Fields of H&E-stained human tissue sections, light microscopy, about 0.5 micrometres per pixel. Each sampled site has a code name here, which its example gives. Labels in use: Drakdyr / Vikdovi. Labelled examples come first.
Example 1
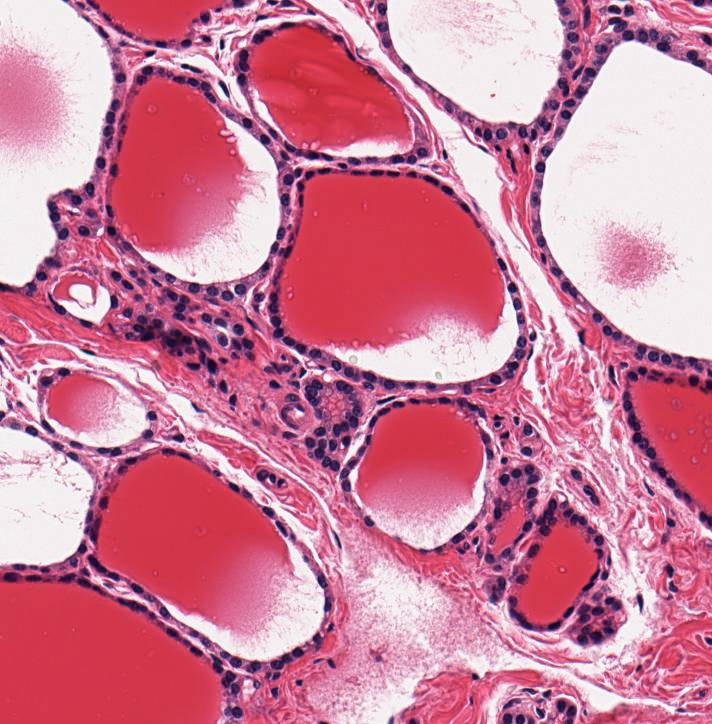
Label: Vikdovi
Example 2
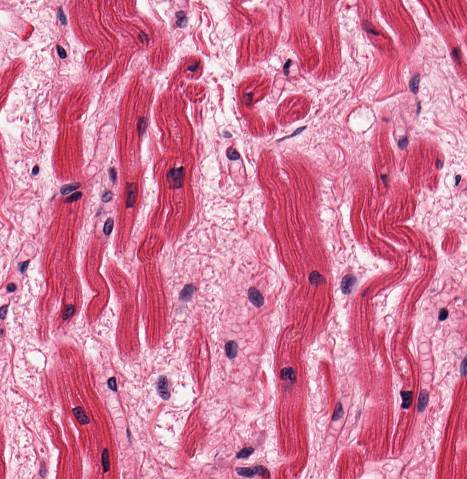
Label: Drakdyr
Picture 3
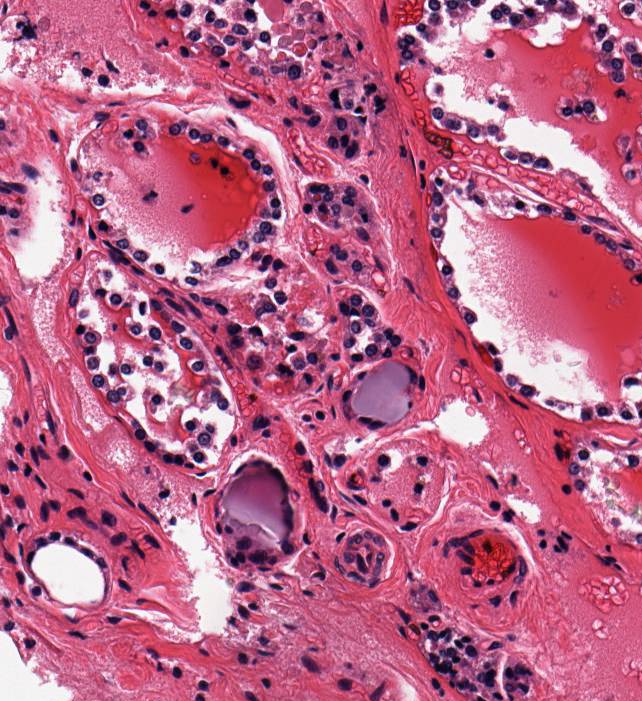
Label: Vikdovi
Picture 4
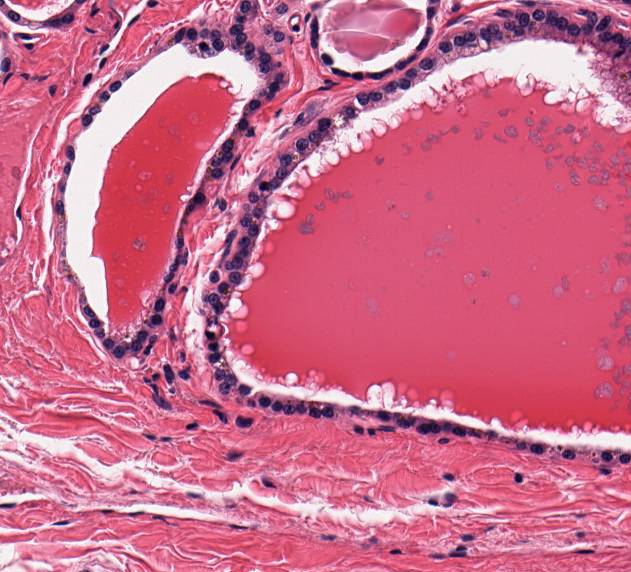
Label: Vikdovi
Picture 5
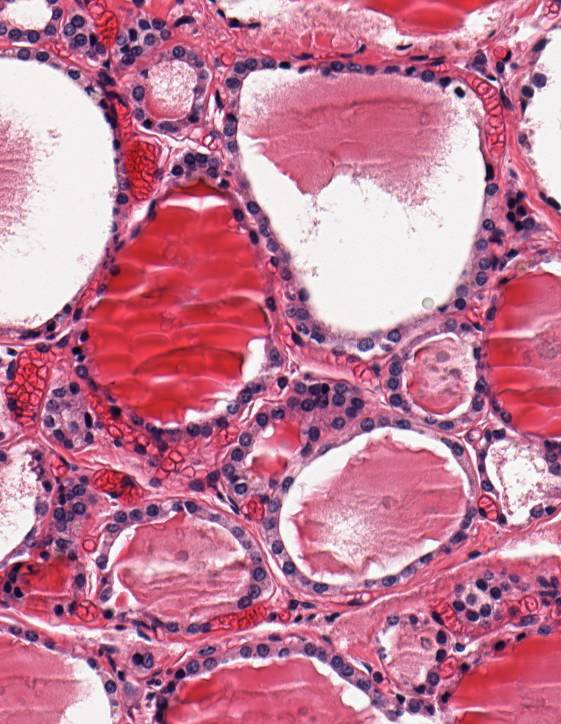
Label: Vikdovi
